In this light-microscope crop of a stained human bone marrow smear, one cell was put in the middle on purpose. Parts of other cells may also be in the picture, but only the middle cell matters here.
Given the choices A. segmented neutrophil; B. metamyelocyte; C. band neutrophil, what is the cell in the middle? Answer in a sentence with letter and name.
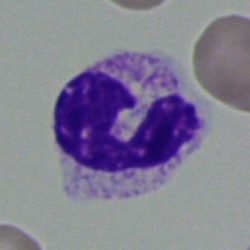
Option C stands as correct, the central cell being a band neutrophil.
